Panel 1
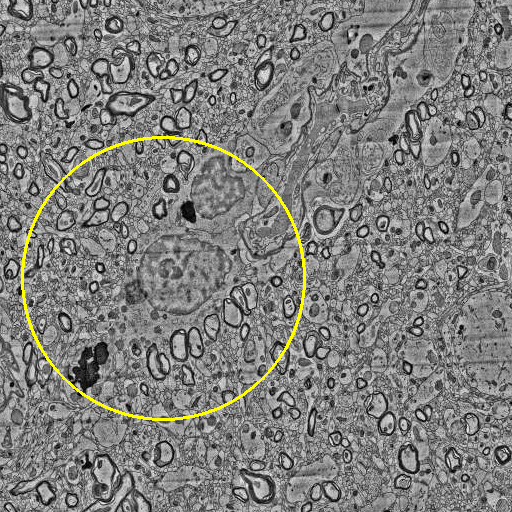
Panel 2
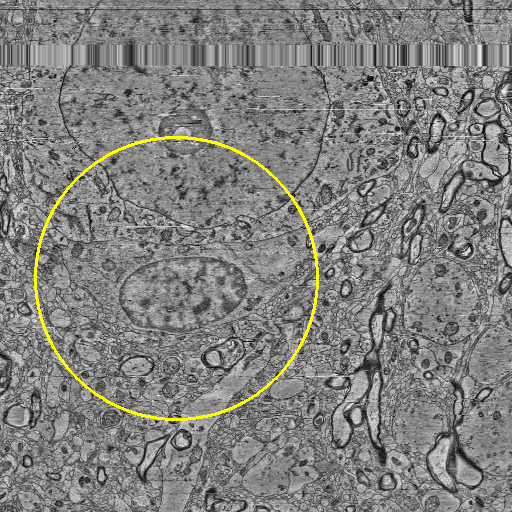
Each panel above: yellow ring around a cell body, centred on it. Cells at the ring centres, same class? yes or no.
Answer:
yes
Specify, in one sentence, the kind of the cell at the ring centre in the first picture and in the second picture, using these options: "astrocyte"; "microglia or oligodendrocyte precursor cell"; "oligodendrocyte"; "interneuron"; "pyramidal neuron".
Both cells are the same kind, each one being an oligodendrocyte.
